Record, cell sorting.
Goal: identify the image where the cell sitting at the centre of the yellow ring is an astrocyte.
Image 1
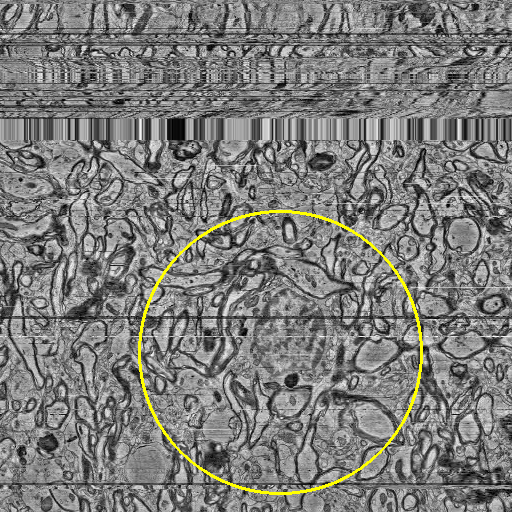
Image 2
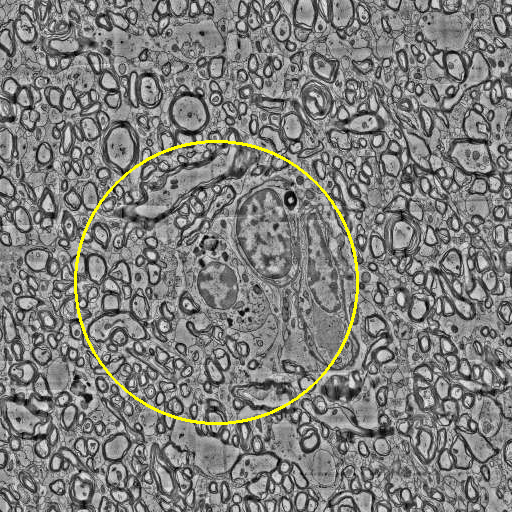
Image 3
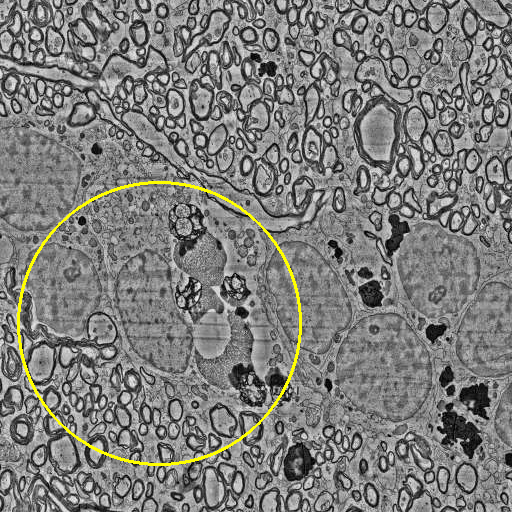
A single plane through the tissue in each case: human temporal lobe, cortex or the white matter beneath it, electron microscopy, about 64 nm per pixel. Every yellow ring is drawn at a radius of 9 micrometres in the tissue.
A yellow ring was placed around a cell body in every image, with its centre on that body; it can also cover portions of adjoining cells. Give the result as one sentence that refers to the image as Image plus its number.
Image 3 shows the requested cell sitting right at the centre of its ring.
